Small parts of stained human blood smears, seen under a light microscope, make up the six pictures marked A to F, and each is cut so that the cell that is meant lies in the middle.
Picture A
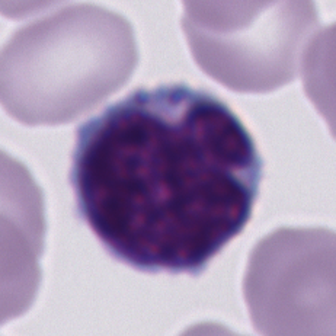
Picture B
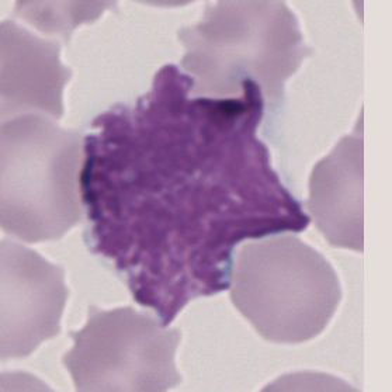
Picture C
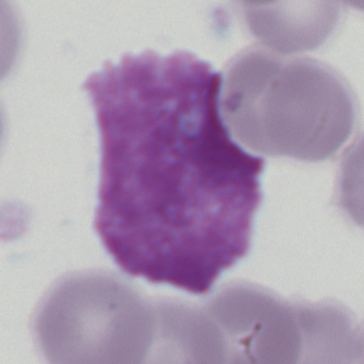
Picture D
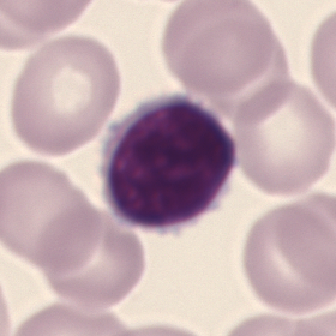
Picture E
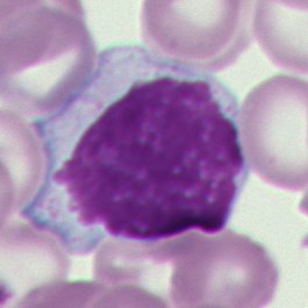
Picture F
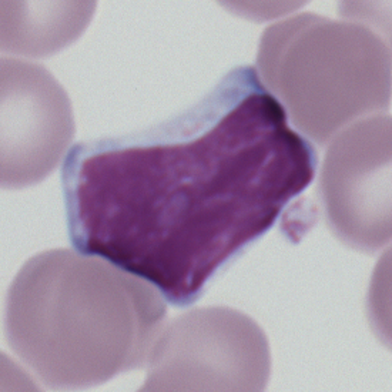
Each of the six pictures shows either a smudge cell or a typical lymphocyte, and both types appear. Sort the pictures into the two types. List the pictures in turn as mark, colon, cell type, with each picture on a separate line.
A: typical lymphocyte
B: smudge cell
C: smudge cell
D: typical lymphocyte
E: typical lymphocyte
F: typical lymphocyte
